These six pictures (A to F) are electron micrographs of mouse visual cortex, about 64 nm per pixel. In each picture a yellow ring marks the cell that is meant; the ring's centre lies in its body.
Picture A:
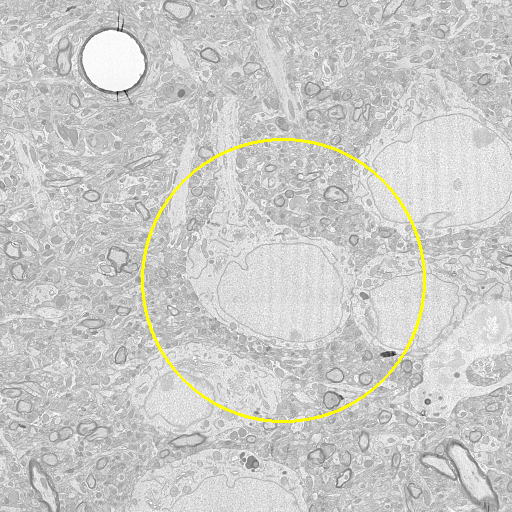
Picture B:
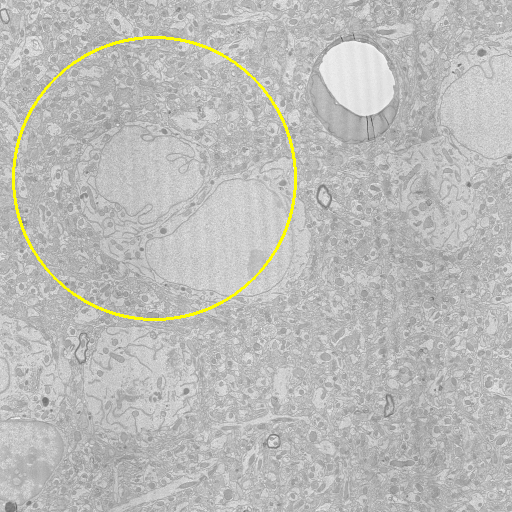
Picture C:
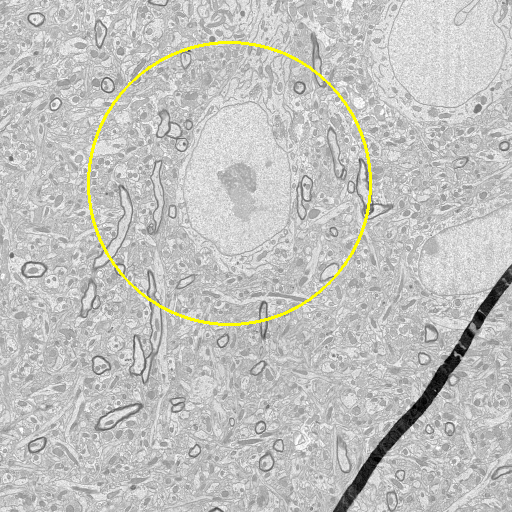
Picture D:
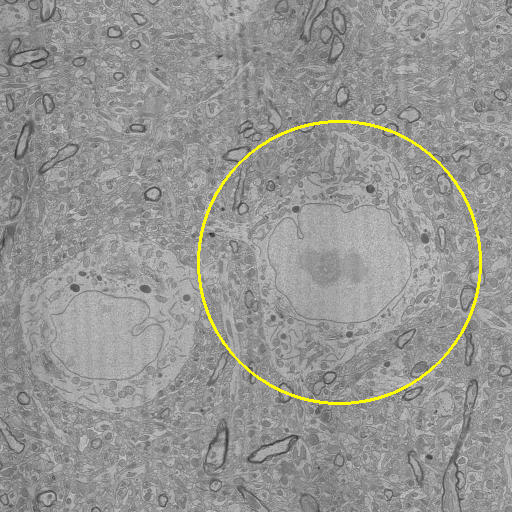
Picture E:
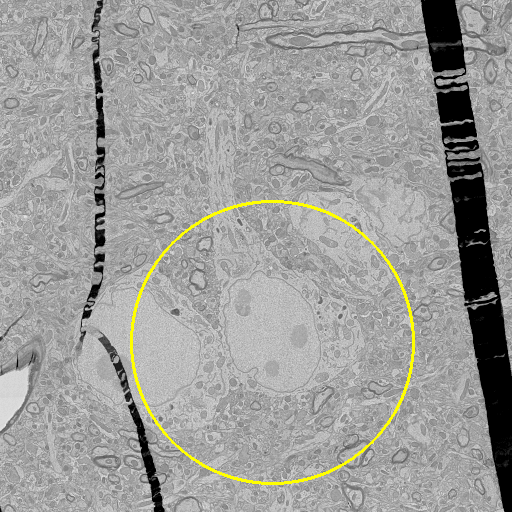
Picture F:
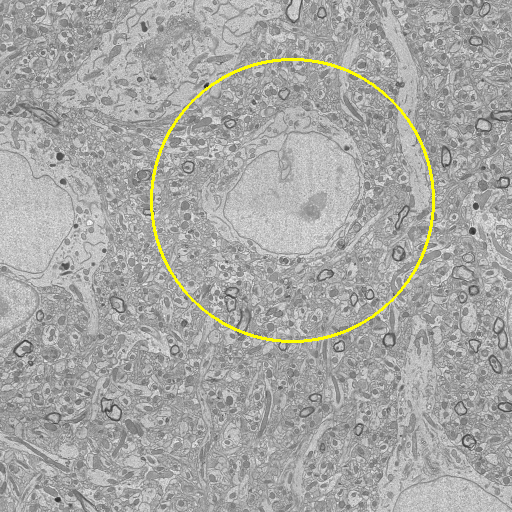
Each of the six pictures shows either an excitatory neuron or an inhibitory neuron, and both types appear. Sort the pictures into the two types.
Pictures A and E show excitatory neurons, while pictures B, C, D and F show inhibitory neurons.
